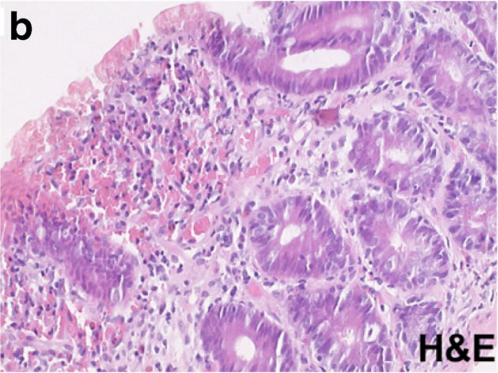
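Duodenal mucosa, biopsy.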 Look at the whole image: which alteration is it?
damage of the surface epithelium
